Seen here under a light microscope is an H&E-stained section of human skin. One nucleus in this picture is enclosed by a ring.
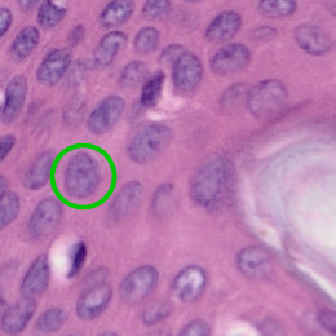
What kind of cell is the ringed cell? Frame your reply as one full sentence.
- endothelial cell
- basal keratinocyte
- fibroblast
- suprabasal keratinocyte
As for its identity, the ringed cell is a suprabasal keratinocyte.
